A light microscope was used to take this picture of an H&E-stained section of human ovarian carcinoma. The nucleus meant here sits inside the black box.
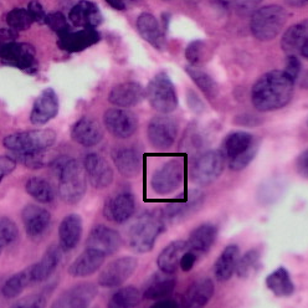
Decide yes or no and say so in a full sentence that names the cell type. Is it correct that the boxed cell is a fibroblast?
No, sorry, but the boxed cell is a carcinoma cell and not a fibroblast.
